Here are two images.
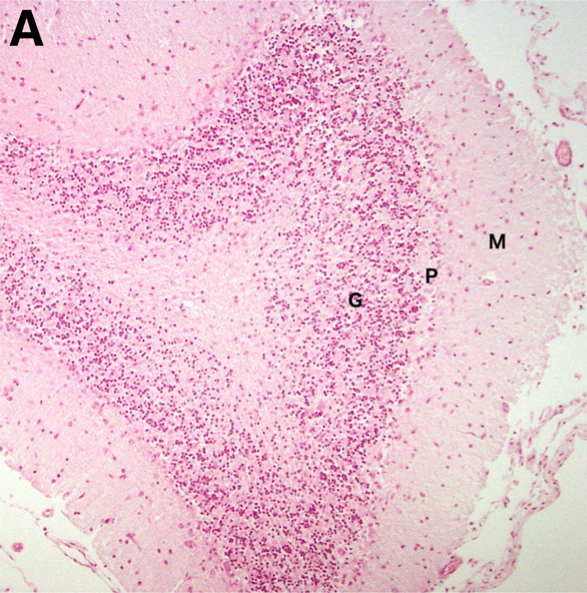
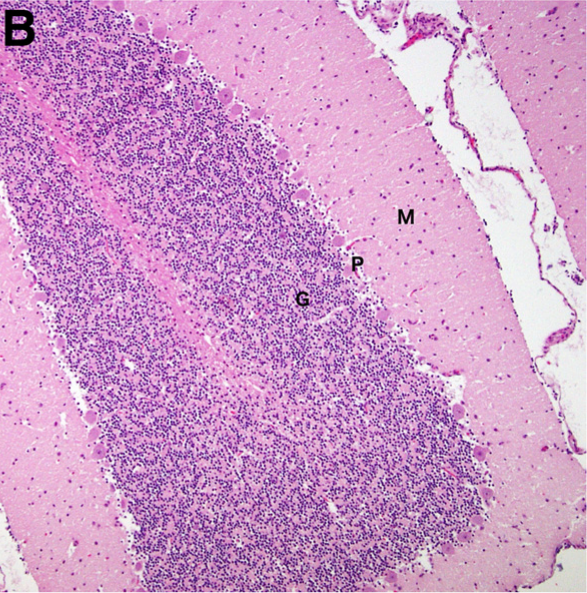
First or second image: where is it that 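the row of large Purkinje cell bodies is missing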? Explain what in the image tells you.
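Second image: a continuous row of large pale rounded cell bodies borders the dense granular layer. First image: no such large cell bodies line the edge of the granular layer.
Answer: the first image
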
